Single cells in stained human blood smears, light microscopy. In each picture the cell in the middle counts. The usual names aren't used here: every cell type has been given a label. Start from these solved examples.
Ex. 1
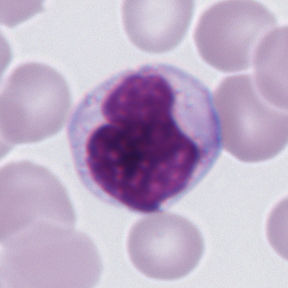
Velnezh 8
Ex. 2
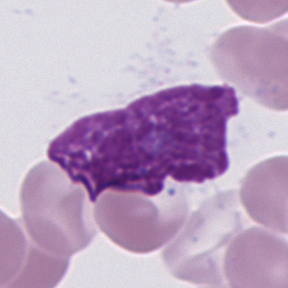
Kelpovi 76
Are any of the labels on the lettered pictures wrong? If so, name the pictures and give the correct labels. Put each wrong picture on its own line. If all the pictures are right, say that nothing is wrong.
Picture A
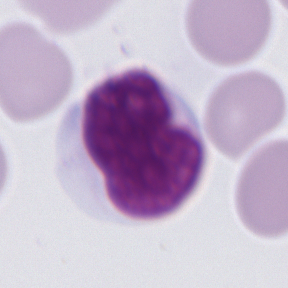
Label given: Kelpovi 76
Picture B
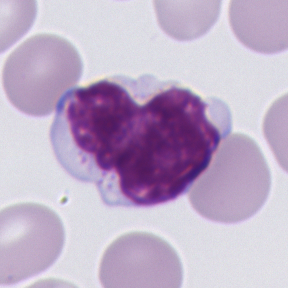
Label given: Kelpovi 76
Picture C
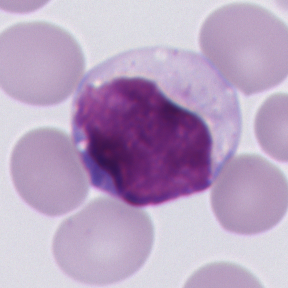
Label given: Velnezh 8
Wrong: A (Kelpovi 76); correct: Velnezh 8
Wrong: B (Kelpovi 76); correct: Velnezh 8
